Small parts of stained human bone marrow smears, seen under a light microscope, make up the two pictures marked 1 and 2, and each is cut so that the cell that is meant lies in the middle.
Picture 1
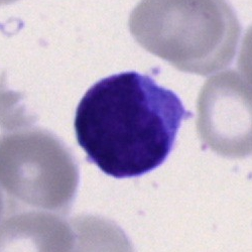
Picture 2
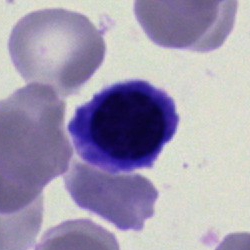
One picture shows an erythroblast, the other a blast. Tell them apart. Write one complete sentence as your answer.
Picture 2 shows an erythroblast, while picture 1 shows a blast.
